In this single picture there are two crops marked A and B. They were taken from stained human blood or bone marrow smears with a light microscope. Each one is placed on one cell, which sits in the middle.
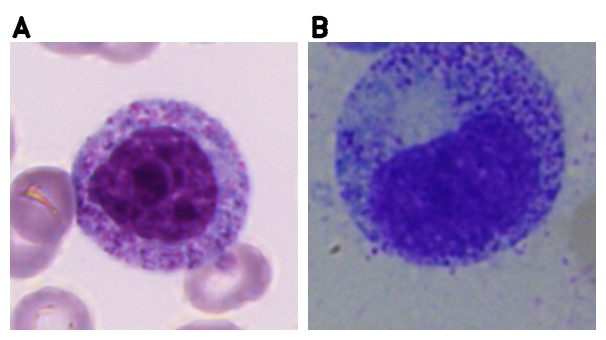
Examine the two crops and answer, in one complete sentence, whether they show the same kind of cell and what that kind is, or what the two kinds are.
Yes, both crops have myelocytes as their central cells.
